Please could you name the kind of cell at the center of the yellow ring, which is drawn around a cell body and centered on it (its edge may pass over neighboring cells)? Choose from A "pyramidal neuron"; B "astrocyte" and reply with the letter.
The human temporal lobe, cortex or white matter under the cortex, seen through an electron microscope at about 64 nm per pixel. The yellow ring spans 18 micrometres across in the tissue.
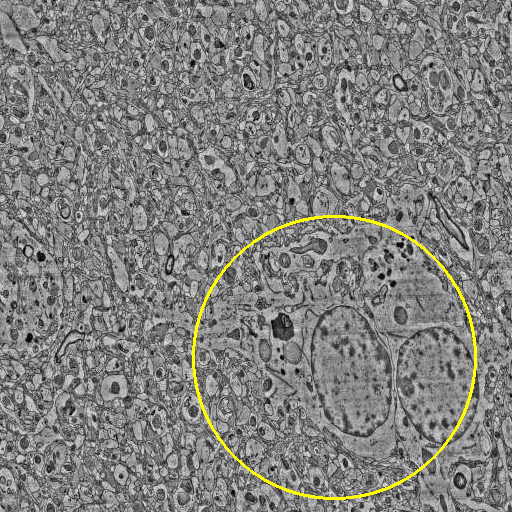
B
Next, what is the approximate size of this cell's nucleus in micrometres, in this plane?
The nucleus is approximately 8 micrometres long but only about 5 wide, clearly longer than it is wide in this plane.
